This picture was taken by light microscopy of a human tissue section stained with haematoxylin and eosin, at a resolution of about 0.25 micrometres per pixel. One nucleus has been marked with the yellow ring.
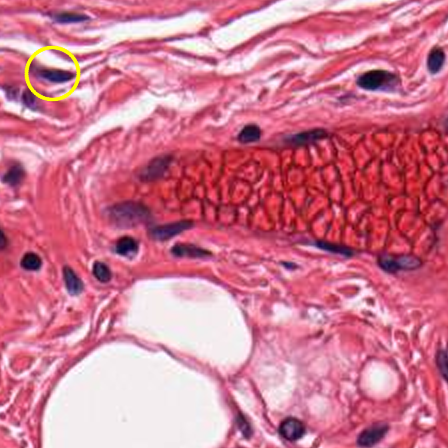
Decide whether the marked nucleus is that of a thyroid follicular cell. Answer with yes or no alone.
no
